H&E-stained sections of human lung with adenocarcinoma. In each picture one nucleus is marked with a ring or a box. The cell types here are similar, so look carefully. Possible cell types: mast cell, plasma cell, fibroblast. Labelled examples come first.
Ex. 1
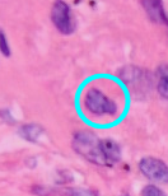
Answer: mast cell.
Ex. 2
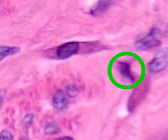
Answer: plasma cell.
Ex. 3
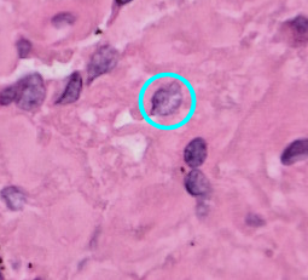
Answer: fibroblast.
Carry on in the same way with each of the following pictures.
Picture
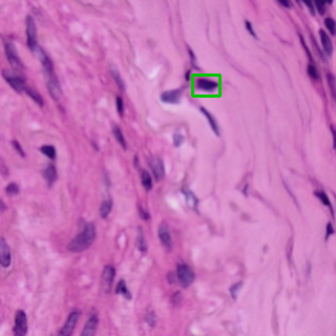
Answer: mast cell.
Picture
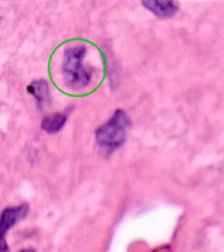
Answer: fibroblast.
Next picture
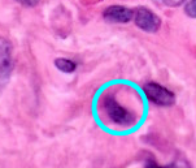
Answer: plasma cell.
